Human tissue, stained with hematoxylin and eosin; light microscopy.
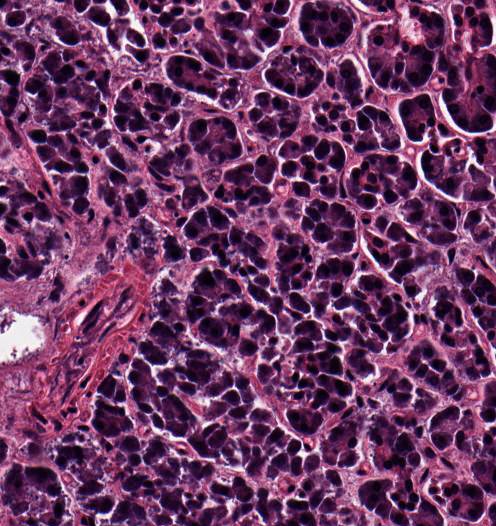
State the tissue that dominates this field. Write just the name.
exocrine pancreas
